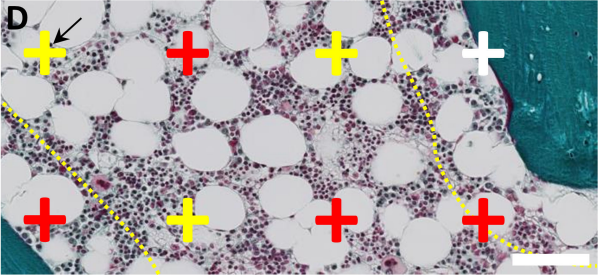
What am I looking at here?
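At the upper right a piece of trabecular bone stains solid blue-green with a faint lamellar texture. The fat cells crowd most densely in some zones, while others are dominated by the small cells of the marrow.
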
